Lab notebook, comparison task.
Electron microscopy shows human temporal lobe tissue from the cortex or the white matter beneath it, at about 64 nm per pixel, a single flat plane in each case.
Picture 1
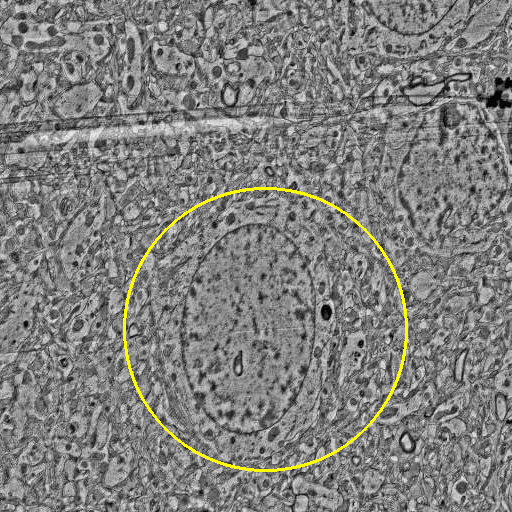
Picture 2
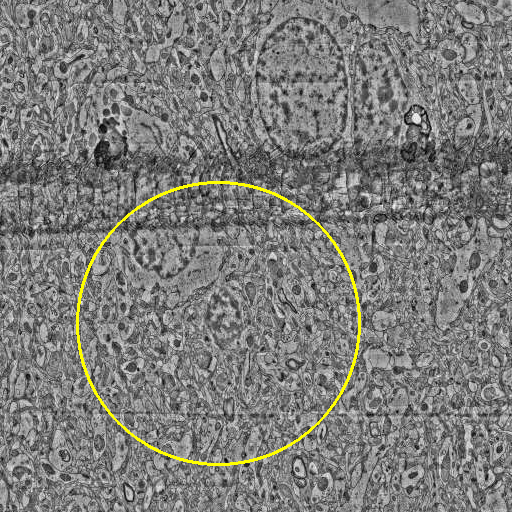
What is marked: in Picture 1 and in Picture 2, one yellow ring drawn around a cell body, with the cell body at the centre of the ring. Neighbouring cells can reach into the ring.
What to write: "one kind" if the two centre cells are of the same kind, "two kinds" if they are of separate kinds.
two kinds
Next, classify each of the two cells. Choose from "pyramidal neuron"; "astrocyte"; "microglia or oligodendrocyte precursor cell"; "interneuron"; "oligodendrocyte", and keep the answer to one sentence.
In the first picture it is a pyramidal neuron; in the second it is an astrocyte.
